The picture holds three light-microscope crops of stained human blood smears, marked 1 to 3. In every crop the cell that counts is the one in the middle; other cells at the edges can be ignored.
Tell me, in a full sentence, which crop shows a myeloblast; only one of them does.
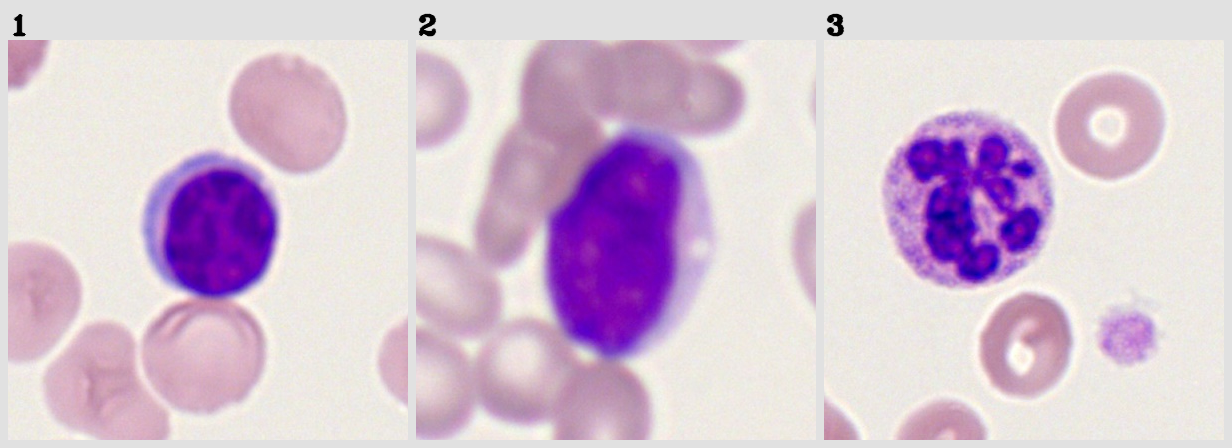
It is in crop 2 that a myeloblast is shown.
